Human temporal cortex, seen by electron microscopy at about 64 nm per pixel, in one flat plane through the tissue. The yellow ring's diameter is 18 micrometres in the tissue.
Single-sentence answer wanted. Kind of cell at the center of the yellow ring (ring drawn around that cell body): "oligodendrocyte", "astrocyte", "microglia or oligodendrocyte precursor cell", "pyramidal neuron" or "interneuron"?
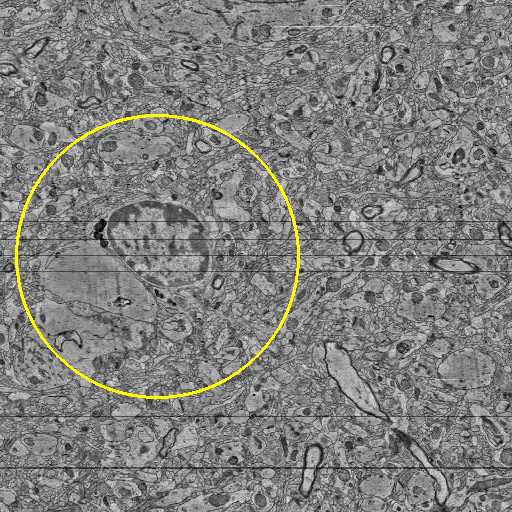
The cell centered in the ring is a microglial cell or oligodendrocyte precursor cell.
